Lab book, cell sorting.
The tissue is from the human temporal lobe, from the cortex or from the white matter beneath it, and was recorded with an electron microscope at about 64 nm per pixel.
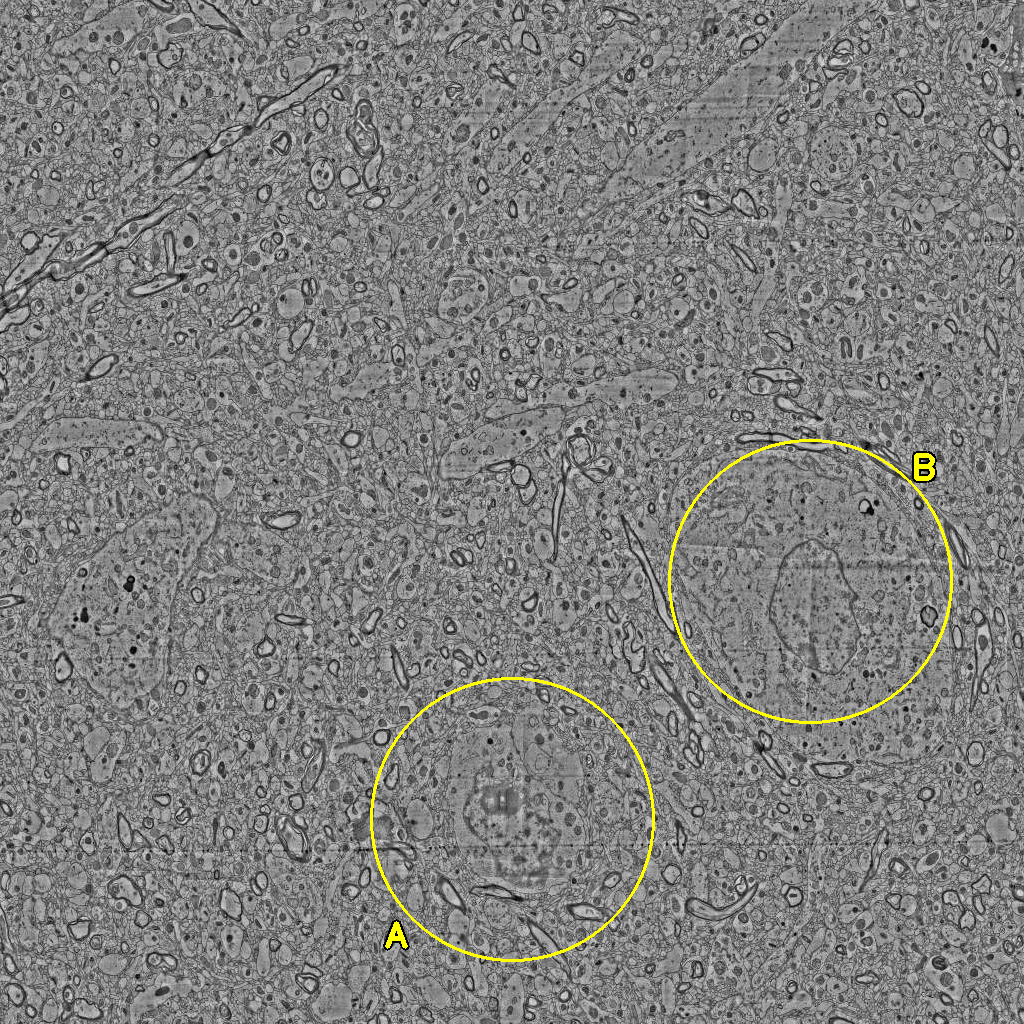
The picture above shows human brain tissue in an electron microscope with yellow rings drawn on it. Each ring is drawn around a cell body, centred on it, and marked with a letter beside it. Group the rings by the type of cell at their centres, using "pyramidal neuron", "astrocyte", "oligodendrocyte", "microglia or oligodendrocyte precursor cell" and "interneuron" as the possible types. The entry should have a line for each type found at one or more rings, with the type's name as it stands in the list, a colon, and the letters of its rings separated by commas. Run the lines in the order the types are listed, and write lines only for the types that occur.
pyramidal neuron: B
interneuron: A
